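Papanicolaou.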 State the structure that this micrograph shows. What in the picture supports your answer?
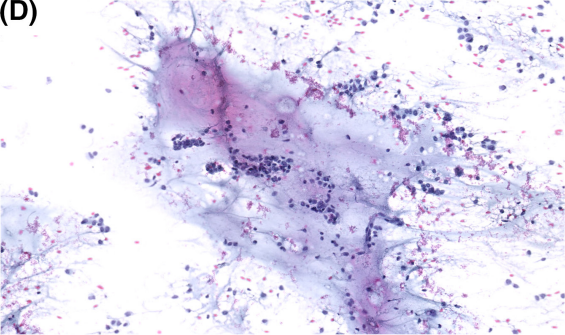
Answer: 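Mucus. Broad sheets of pale blue-grey to pink amorphous material with streaming strands. Small clusters of cells are trapped within the material.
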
